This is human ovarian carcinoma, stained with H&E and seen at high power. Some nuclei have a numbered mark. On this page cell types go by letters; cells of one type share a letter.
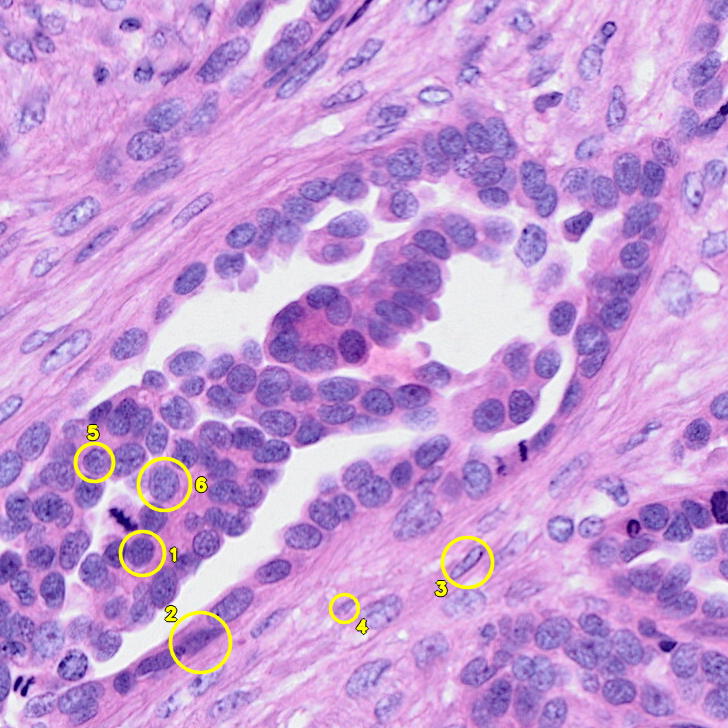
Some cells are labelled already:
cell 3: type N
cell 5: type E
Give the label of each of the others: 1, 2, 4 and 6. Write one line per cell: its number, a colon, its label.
1: type E
2: type E
4: type N
6: type E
